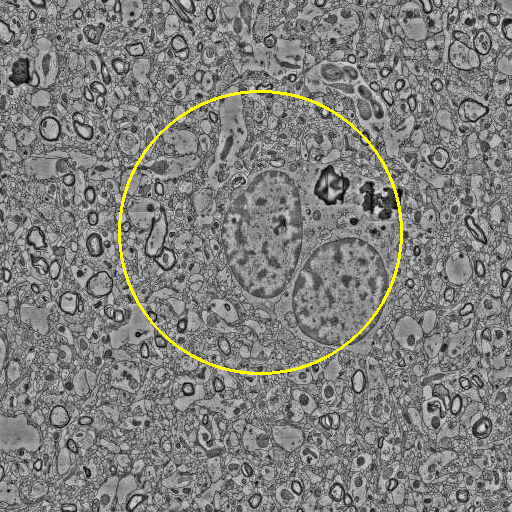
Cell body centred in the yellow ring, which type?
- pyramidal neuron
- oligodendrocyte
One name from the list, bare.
oligodendrocyte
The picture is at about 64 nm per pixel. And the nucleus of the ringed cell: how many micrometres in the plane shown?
The nucleus of the ringed cell is clearly longer than it is wide in this plane, about 8 by 5 micrometres.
